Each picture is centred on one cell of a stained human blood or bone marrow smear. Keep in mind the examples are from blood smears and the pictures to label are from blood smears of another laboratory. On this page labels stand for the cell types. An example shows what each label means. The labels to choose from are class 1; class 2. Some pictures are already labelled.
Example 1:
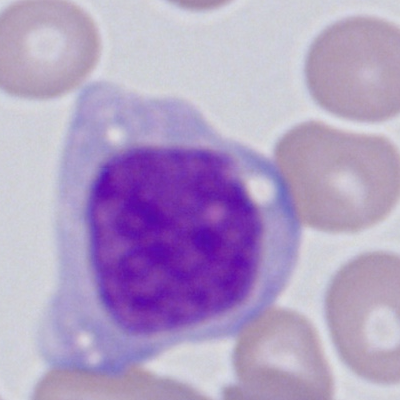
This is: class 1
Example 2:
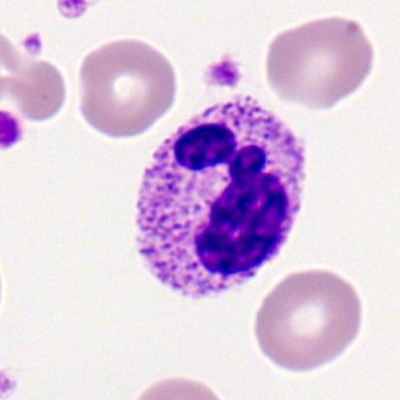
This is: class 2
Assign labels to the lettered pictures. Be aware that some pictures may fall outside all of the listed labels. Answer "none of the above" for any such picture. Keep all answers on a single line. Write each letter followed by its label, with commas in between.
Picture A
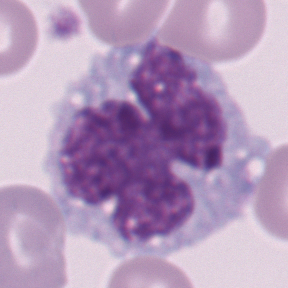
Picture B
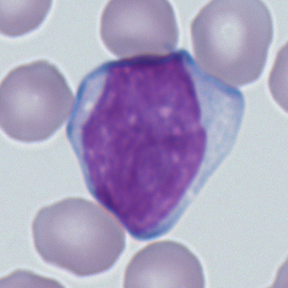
A class 1, B none of the above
